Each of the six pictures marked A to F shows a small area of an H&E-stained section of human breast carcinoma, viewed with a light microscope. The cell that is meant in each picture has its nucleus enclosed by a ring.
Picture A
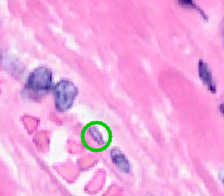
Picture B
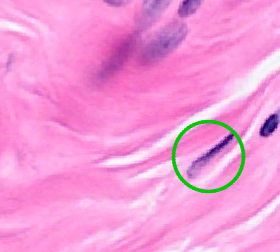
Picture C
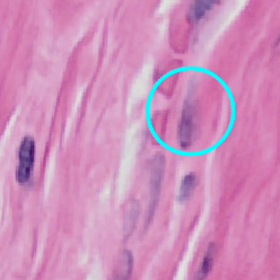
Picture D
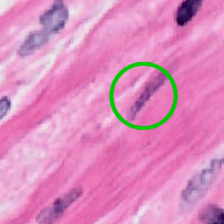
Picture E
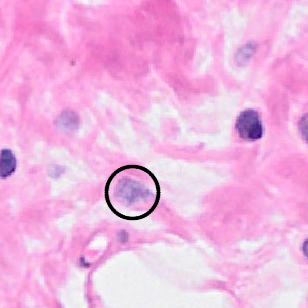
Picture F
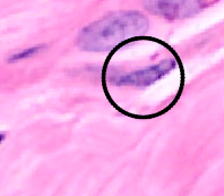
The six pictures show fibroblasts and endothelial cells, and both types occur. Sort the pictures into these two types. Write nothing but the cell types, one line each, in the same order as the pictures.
endothelial cell
fibroblast
endothelial cell
fibroblast
fibroblast
endothelial cell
